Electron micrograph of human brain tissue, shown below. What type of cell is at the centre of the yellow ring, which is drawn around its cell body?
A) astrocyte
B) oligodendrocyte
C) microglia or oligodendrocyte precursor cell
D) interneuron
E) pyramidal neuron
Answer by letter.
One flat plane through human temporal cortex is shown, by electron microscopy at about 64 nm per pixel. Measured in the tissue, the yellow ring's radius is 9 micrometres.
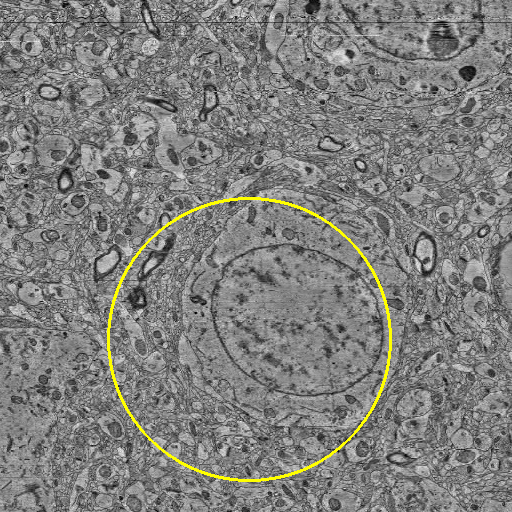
E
